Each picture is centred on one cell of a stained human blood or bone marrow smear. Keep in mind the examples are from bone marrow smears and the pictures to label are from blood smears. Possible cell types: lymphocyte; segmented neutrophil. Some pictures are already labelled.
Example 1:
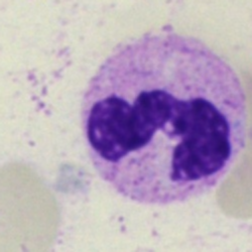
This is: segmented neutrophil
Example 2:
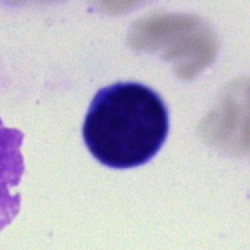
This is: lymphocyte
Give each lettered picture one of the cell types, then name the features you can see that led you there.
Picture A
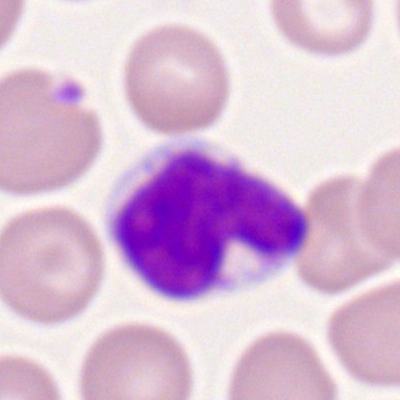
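Answer: lymphocyte. The nucleus fills most of the cell and has an irregular, folded shape.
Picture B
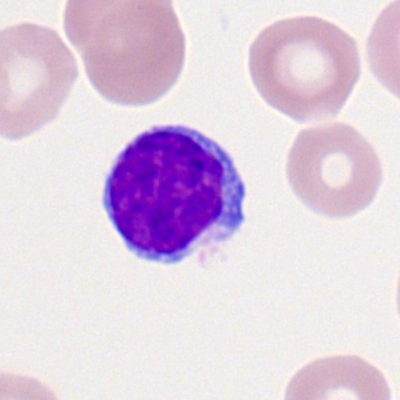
Answer: lymphocyte. The cytoplasm is a thin rim that is widest on the right side.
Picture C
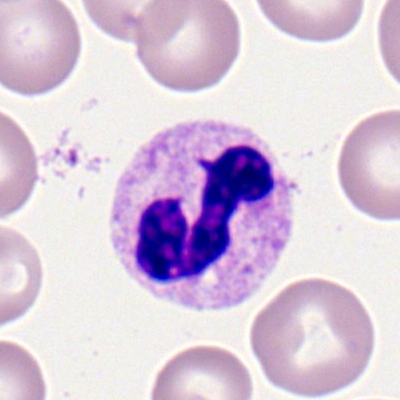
Answer: segmented neutrophil. The cytoplasm is abundant and pale pinkish-lilac.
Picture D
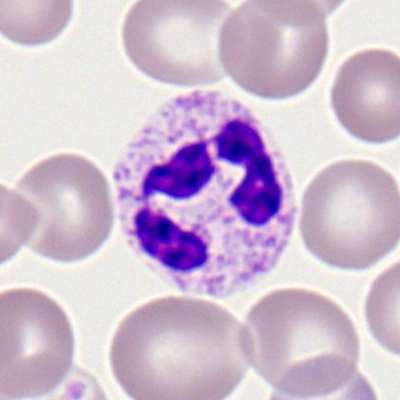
Answer: segmented neutrophil. The nucleus is split into three separate lobes.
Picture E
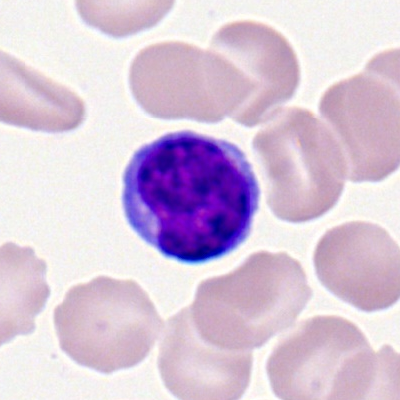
Answer: lymphocyte. The cytoplasm forms only a thin rim around the nucleus.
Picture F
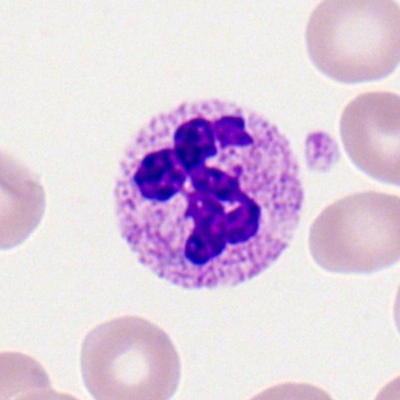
Answer: segmented neutrophil. The nucleus is divided into several separate lobes.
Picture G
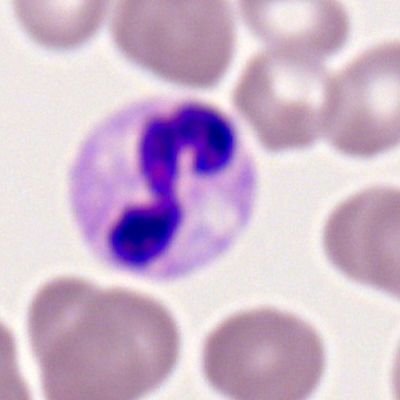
Answer: segmented neutrophil. The cytoplasm is plentiful and pale pinkish-lilac.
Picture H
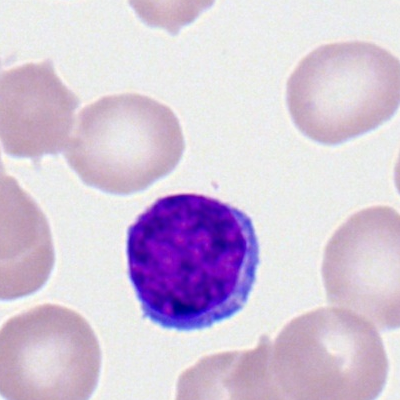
Answer: lymphocyte. The cytoplasm forms only a thin rim around the nucleus.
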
